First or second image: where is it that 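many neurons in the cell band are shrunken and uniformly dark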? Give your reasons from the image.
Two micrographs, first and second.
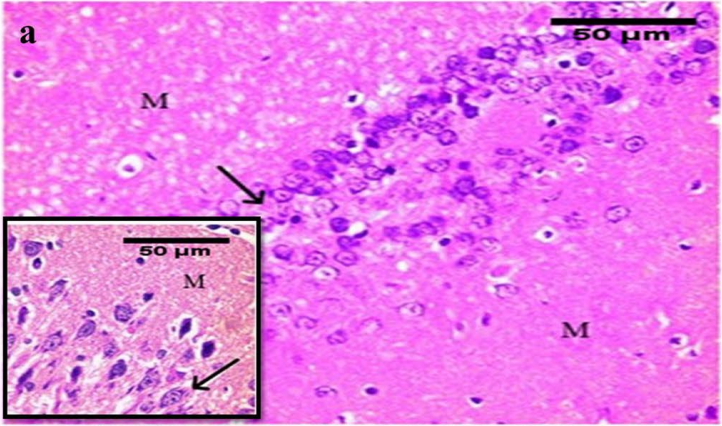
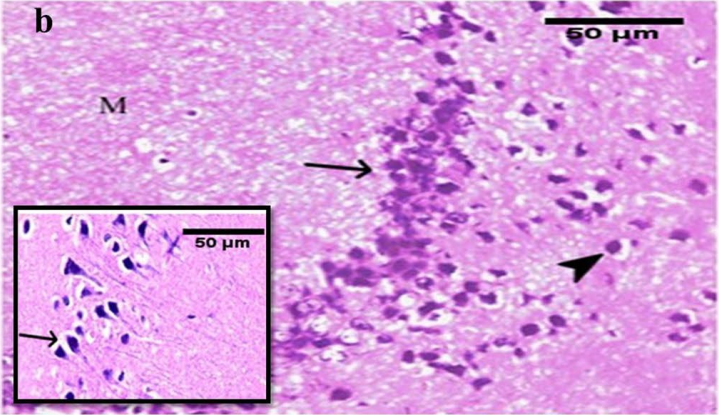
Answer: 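Second image: the cell band is made largely of small, dark, shrunken cells without visible nuclear detail.
Answer: the second image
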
